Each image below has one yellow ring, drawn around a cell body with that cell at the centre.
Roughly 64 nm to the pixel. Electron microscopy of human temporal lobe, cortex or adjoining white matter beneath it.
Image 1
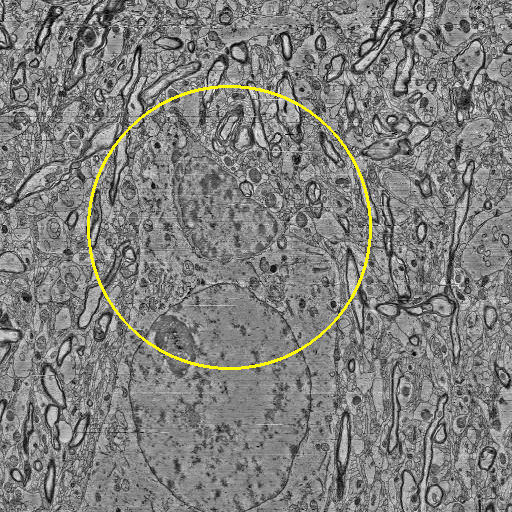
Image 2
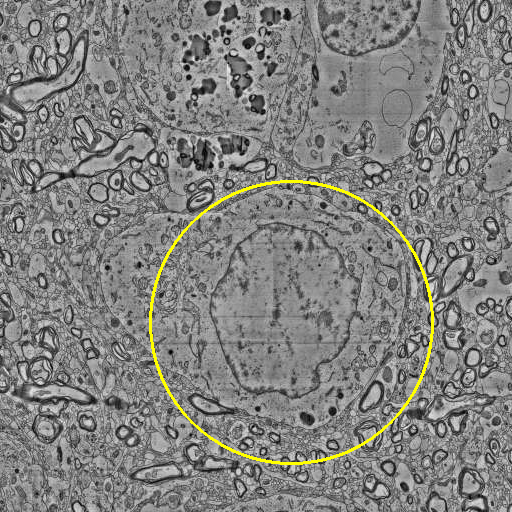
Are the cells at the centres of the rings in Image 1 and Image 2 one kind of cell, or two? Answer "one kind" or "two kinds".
two kinds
